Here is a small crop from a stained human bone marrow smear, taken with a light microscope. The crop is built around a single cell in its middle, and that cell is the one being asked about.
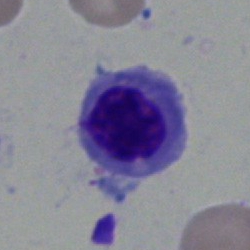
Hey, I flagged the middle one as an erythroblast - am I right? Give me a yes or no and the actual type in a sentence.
Yes, the cell at the centre of the field is an erythroblast.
